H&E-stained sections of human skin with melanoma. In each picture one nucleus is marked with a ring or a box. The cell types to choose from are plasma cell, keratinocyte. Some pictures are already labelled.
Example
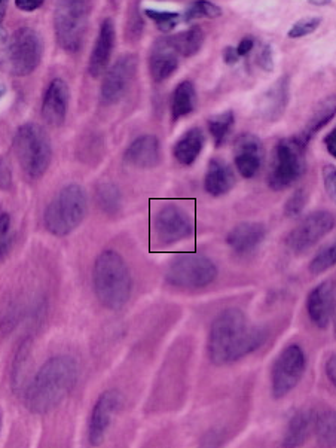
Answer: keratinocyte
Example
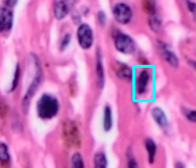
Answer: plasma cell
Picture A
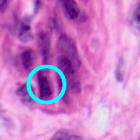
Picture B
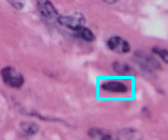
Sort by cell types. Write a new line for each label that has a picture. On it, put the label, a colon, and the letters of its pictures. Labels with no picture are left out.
plasma cell: B
keratinocyte: A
